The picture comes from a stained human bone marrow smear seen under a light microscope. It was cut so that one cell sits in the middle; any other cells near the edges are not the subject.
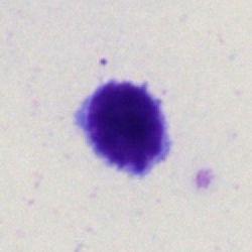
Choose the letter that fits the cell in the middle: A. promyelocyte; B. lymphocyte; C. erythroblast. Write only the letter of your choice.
B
